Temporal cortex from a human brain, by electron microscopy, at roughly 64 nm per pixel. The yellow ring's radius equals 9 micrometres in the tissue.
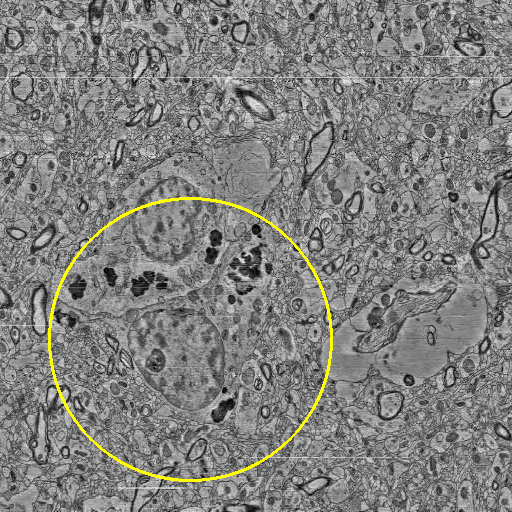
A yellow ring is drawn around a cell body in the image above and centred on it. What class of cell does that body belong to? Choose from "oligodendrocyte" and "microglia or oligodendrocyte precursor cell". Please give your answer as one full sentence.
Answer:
The yellow ring above is centred on the cell body of an oligodendrocyte.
